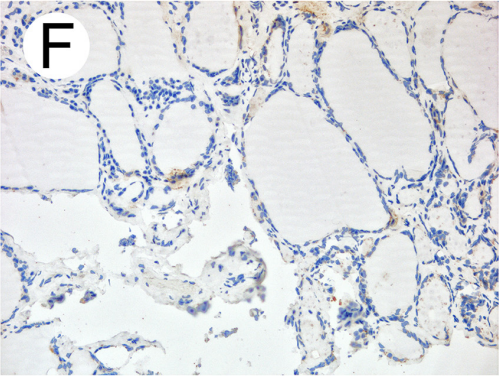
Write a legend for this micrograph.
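Rounded follicles of varying size filled with pale homogeneous colloid are lined by a single layer of flattened cells. Their nuclei are blue and elongated, and the cytoplasm shows almost no brown colour. This is normal thyroid tissue.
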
